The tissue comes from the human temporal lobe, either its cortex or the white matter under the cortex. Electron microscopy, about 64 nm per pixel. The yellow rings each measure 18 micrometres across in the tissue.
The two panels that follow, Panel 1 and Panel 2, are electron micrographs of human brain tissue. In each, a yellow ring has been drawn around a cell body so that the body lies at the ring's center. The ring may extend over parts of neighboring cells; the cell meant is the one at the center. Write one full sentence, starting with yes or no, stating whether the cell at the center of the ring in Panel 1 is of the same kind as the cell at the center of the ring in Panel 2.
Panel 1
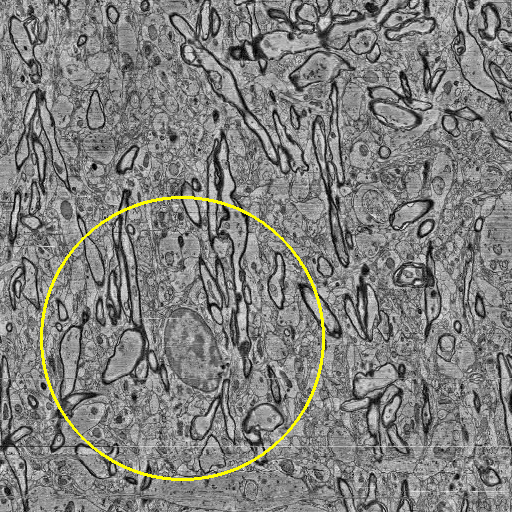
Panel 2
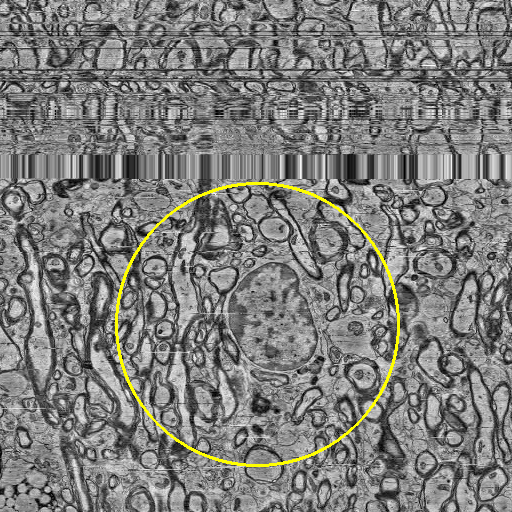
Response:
Yes, the cells in both panels are of the same kind.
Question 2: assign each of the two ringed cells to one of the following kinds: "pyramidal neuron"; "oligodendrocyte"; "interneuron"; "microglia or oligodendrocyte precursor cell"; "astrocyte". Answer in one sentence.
The cell at the ring centre is a microglial cell or oligodendrocyte precursor cell in both pictures.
